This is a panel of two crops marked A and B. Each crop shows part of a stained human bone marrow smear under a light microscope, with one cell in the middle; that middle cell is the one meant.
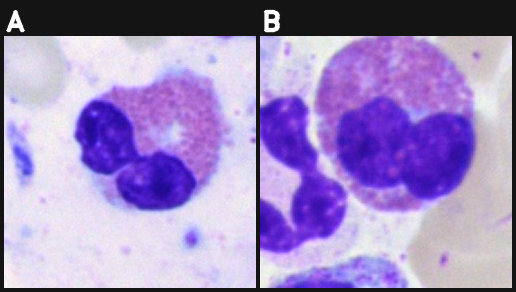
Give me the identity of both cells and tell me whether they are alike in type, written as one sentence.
Yes, both of the crops show eosinophils.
